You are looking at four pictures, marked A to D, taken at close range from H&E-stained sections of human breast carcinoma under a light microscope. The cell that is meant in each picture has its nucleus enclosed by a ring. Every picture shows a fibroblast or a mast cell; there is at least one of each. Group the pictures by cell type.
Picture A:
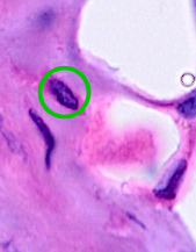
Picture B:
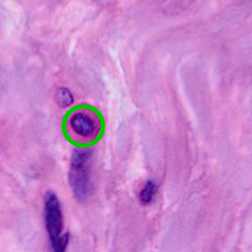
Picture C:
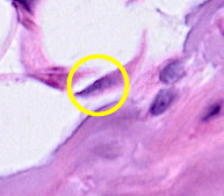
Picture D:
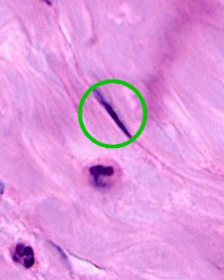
A: mast cell
B: mast cell
C: fibroblast
D: fibroblast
